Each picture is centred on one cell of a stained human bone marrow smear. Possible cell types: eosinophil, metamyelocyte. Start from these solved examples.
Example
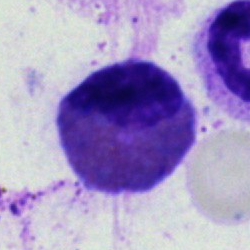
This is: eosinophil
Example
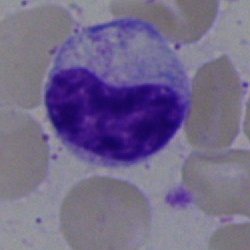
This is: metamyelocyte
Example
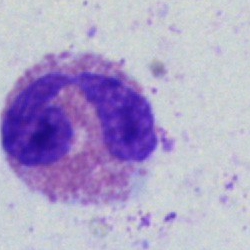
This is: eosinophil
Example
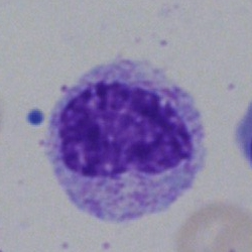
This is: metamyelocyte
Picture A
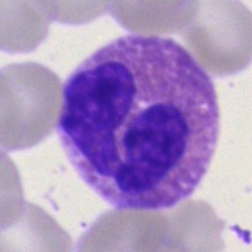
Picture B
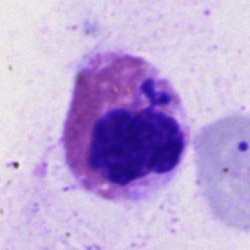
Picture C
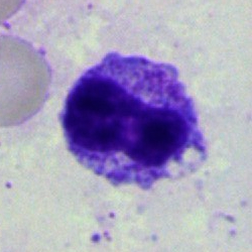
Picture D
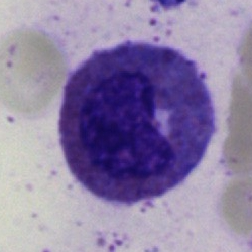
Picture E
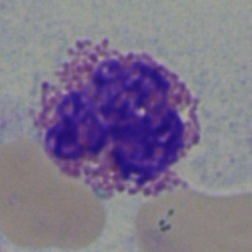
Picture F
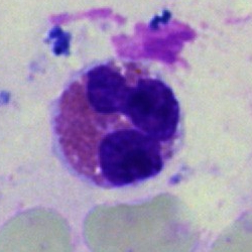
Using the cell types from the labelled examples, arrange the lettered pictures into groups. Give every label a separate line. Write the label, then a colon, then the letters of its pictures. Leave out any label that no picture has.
eosinophil: A, B, D, E, F
metamyelocyte: C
